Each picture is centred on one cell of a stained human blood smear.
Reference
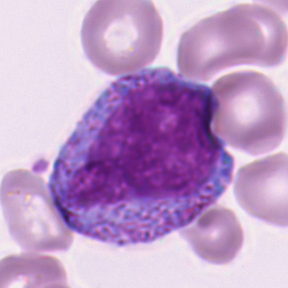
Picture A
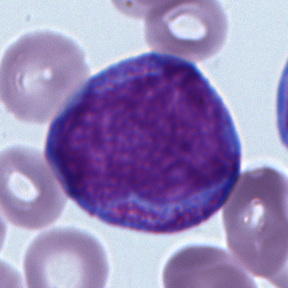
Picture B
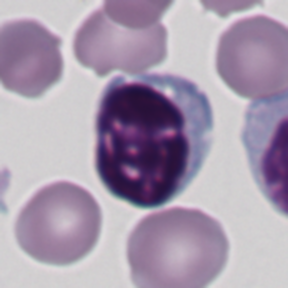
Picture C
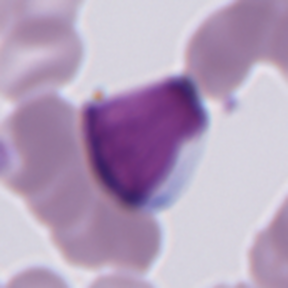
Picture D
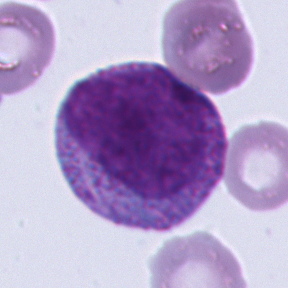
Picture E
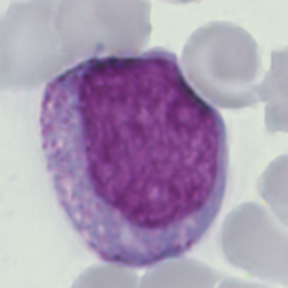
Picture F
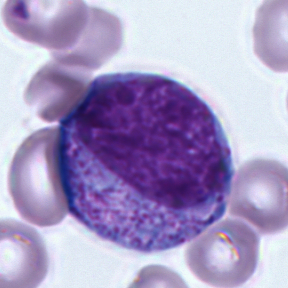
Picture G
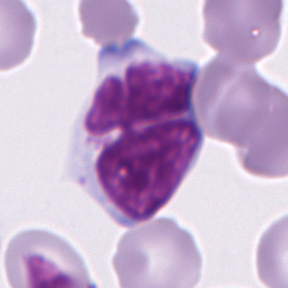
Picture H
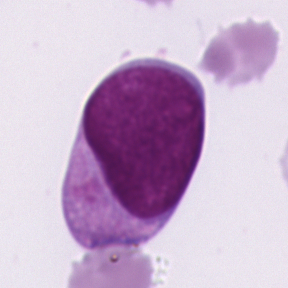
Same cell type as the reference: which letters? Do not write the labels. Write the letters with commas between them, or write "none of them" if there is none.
A, D, E, F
